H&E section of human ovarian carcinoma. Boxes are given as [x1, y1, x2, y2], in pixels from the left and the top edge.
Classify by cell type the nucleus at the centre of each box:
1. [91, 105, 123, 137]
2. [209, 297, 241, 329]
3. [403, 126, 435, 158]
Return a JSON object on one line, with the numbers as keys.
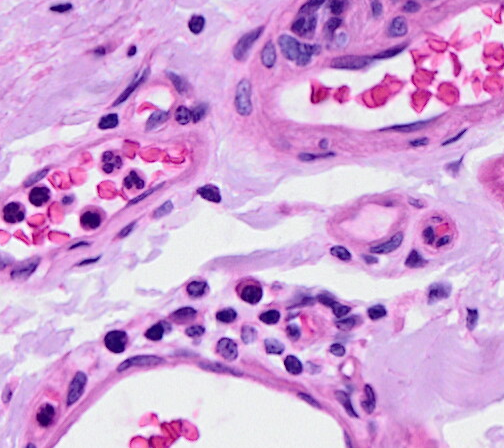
{"1": "lymphocyte", "2": "lymphocyte", "3": "smooth muscle cell"}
